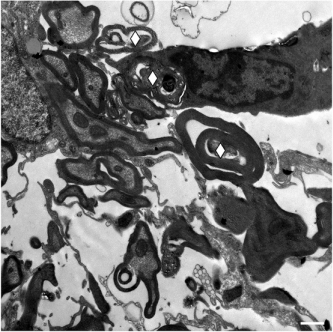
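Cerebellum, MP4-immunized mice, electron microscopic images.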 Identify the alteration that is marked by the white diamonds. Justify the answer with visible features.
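Axolytic axon. Each diamond sits inside a ring of dark, layered sheath. The content inside these rings is shrunken, dark or disrupted rather than pale, even axoplasm.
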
